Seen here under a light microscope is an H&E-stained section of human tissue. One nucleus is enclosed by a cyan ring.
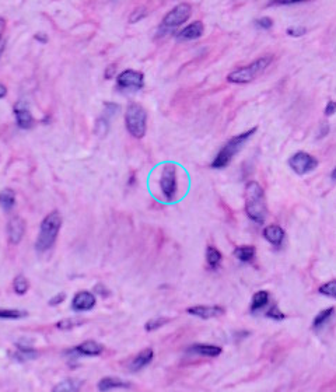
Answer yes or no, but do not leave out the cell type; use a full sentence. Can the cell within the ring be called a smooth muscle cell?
Yes, the cell within the ring has been classified as a smooth muscle cell.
